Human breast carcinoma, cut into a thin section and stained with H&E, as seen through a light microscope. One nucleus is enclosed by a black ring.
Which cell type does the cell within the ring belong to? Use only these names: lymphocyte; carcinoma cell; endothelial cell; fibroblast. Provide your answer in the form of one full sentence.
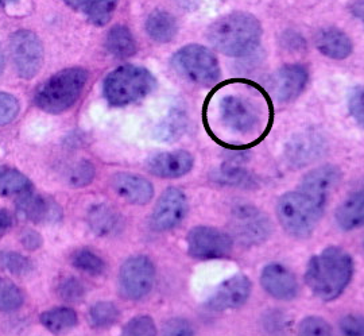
At the level of cell identity, the cell within the ring is a carcinoma cell.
